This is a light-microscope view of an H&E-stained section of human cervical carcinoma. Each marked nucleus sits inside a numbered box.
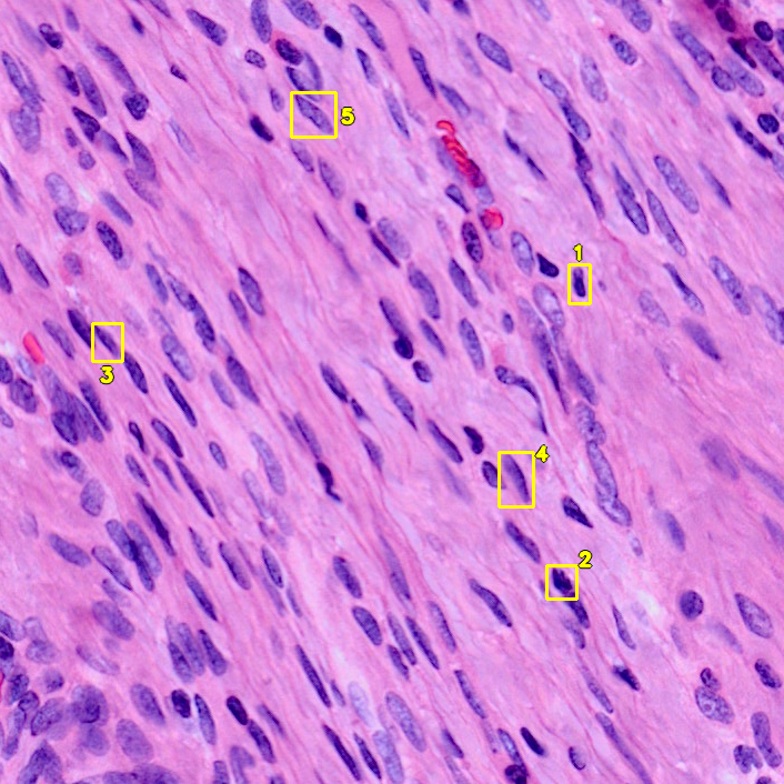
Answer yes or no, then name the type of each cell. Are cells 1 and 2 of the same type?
Yes, cells 1 and 2 both belong among the lymphocytes.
